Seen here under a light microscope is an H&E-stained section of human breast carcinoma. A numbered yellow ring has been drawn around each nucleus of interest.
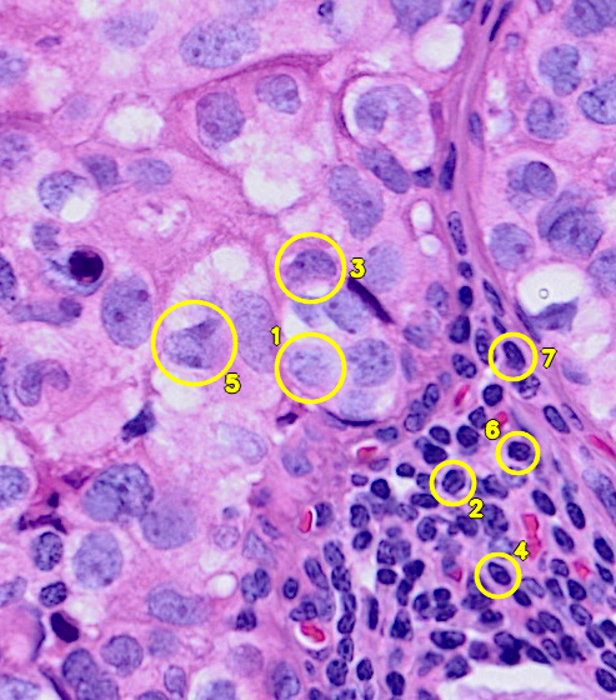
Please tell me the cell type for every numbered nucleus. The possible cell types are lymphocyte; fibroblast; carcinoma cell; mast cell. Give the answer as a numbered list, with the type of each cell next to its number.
1. carcinoma cell
2. lymphocyte
3. carcinoma cell
4. lymphocyte
5. carcinoma cell
6. lymphocyte
7. lymphocyte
